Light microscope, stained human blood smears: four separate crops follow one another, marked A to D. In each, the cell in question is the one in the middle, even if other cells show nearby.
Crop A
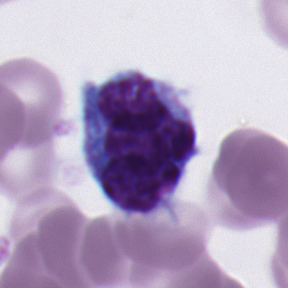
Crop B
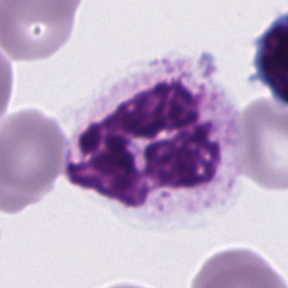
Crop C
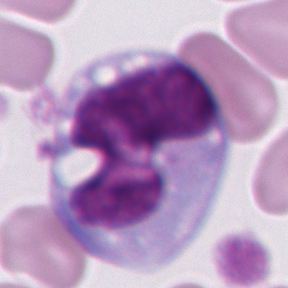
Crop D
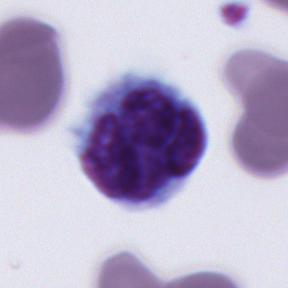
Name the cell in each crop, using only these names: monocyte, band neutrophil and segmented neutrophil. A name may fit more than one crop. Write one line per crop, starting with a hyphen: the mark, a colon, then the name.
- A: monocyte
- B: segmented neutrophil
- C: monocyte
- D: monocyte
